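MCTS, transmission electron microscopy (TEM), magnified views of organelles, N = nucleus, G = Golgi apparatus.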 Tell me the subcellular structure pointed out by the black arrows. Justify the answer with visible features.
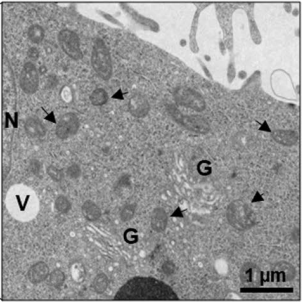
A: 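Arrows point to dark oval organelles with internal folds. Many such organelles scattered through the cytoplasm.
Hence: mitochondria.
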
